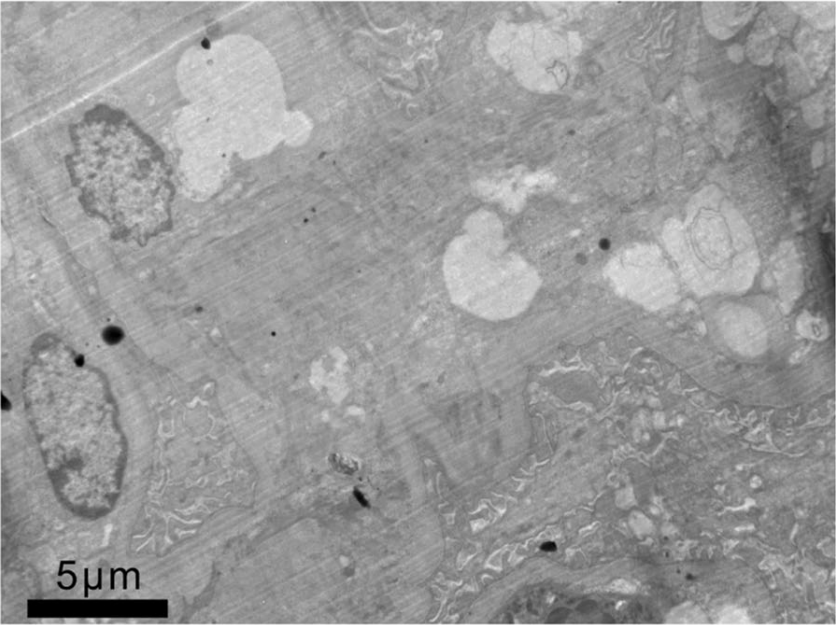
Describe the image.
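This is a glomerular mesangial area with a wide expanse of homogeneous grey matrix, in which a few cells with oval nuclei and coarse chromatin are set. Pale, rounded, lobed spaces lie scattered through the matrix. Along the lower and right edges, capillary walls are lined by folded, convoluted cell processes.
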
